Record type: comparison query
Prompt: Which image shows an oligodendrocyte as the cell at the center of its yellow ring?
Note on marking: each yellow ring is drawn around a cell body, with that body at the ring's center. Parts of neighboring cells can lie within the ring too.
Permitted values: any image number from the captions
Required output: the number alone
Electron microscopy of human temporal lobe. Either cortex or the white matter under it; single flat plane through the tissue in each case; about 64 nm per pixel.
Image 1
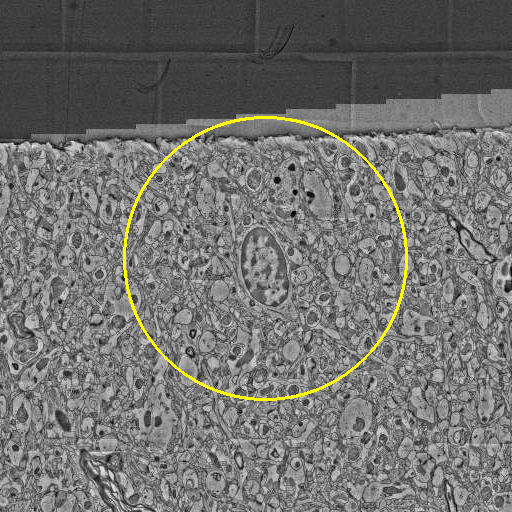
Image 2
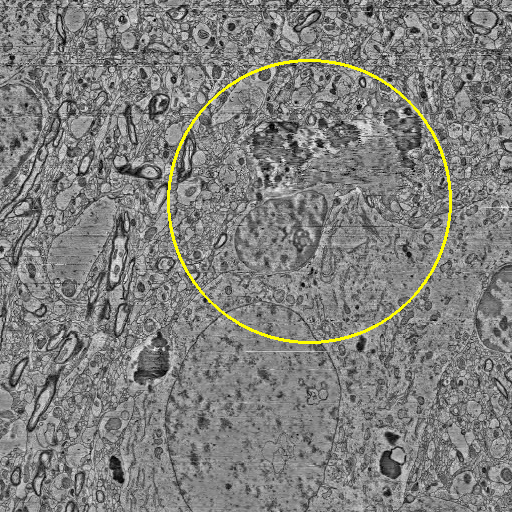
2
